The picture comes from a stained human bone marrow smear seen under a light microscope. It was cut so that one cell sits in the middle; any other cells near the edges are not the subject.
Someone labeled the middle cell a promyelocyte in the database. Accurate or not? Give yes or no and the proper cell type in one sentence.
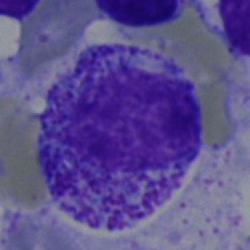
Yes, the identification of the central cell as a promyelocyte is correct.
